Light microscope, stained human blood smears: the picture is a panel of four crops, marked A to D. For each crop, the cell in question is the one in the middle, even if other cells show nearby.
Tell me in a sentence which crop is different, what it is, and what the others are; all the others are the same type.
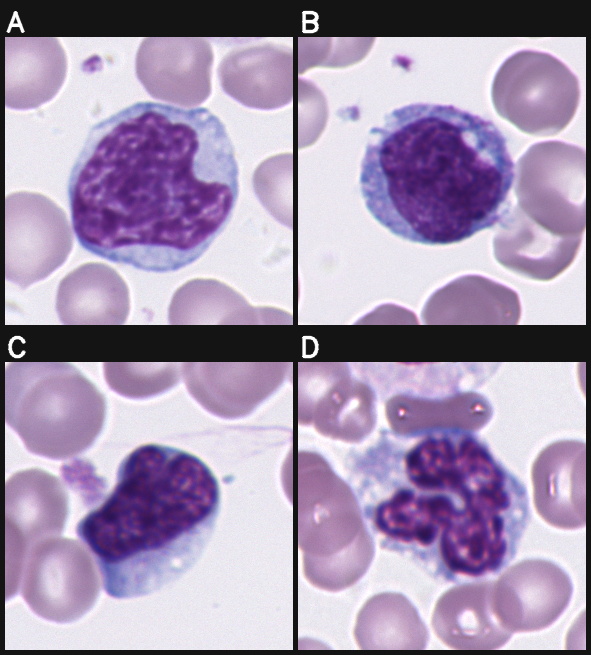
Crop A is the one that is a myeloblast, and the other crops all show monocytes.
